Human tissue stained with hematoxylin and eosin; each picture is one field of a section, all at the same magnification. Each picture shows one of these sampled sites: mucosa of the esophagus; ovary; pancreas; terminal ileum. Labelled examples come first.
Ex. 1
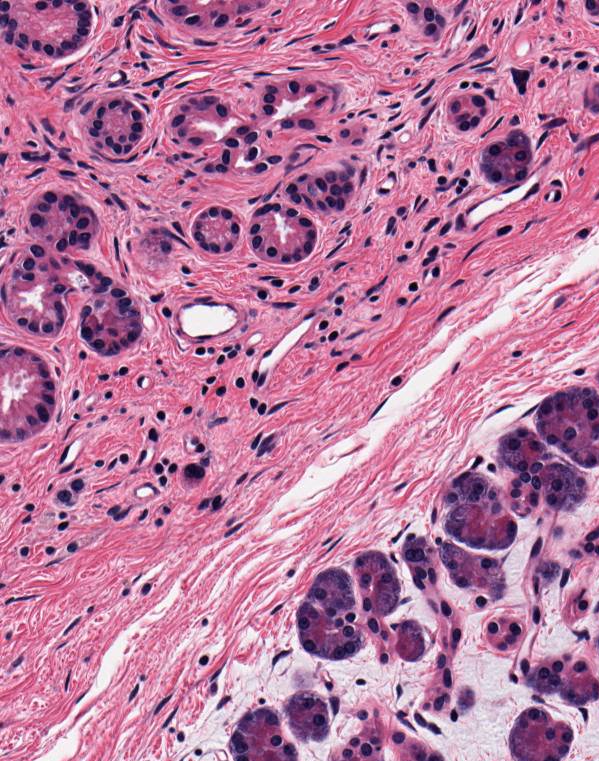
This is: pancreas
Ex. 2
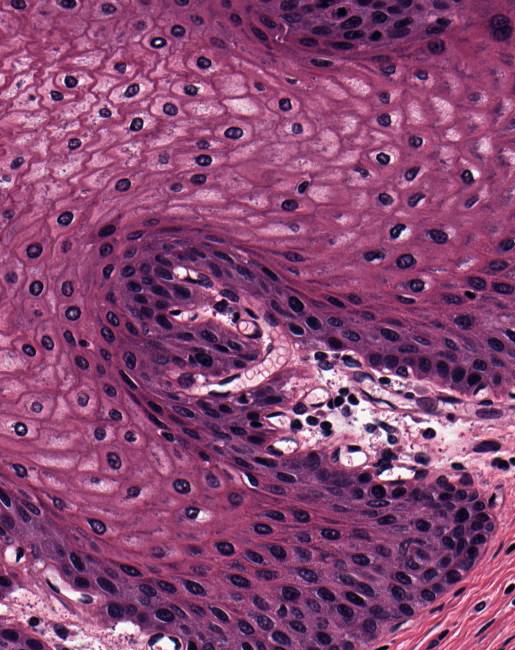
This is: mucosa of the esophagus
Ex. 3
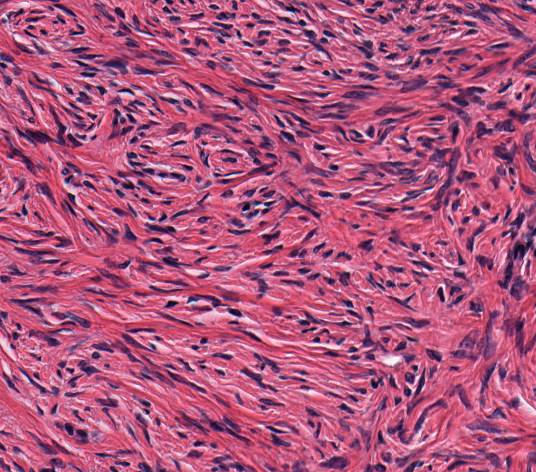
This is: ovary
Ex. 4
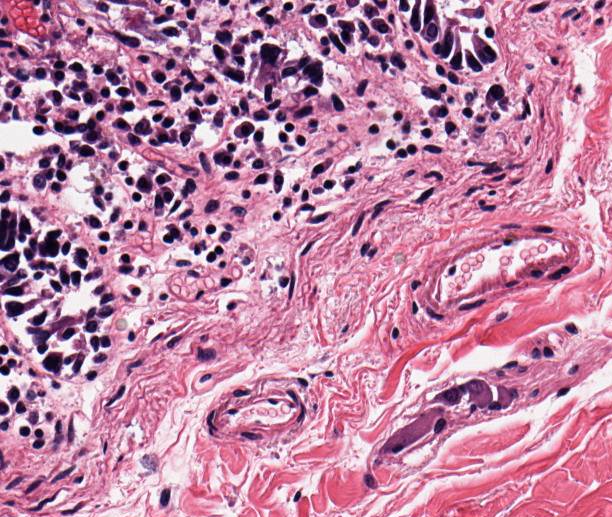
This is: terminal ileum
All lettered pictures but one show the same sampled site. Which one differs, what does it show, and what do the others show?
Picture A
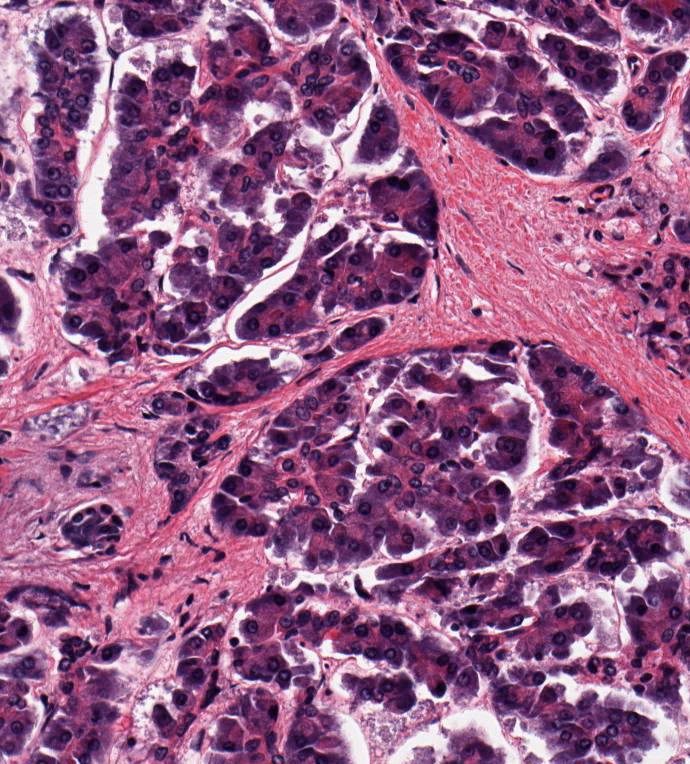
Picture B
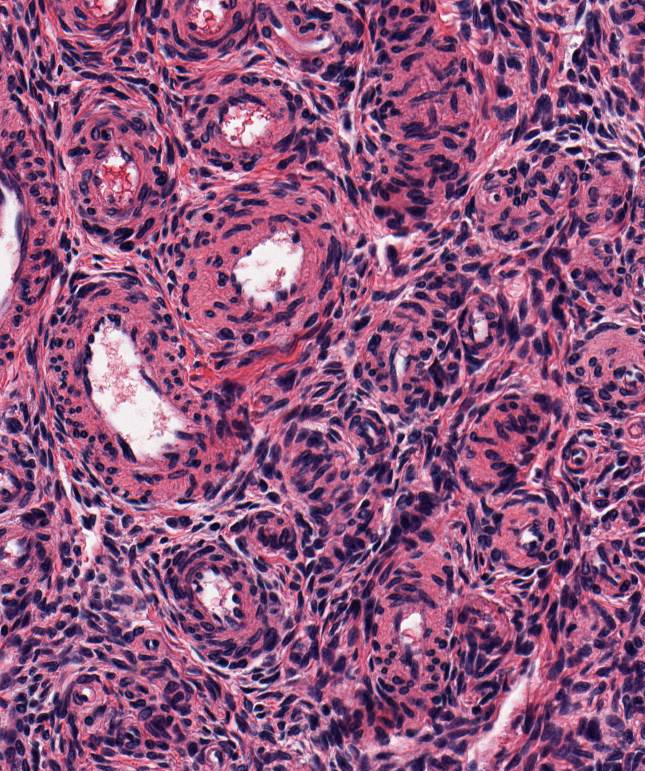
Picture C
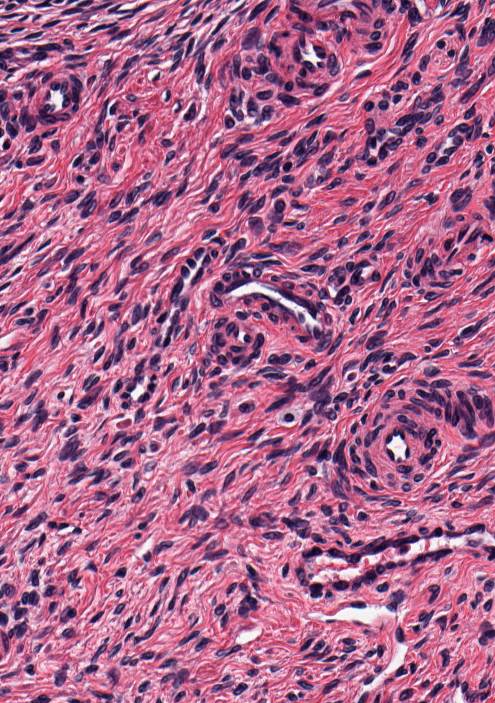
Exception: A, showing pancreas. Remaining pictures: ovary.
